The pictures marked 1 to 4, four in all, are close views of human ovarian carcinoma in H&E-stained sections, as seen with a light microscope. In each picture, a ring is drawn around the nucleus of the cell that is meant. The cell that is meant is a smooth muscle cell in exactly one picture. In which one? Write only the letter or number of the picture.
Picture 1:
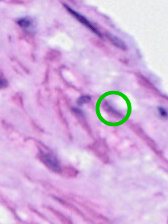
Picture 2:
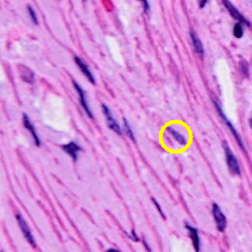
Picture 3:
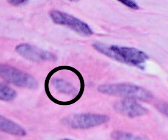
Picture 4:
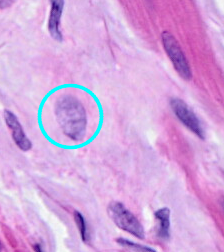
3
